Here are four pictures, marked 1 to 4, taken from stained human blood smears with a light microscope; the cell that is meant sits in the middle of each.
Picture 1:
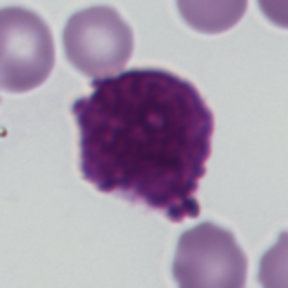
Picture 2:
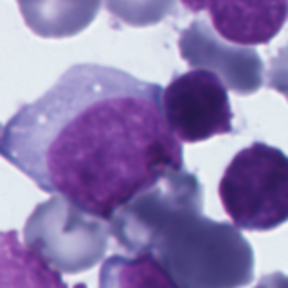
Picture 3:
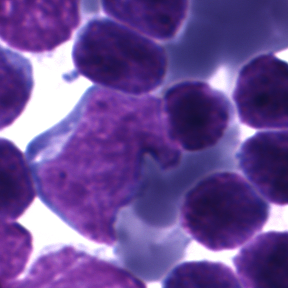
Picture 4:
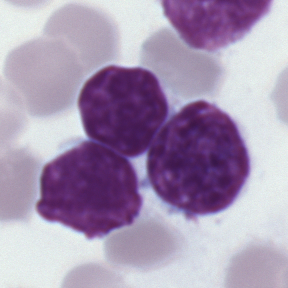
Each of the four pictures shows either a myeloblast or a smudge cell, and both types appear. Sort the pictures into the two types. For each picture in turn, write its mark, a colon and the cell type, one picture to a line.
1: smudge cell
2: myeloblast
3: myeloblast
4: myeloblast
